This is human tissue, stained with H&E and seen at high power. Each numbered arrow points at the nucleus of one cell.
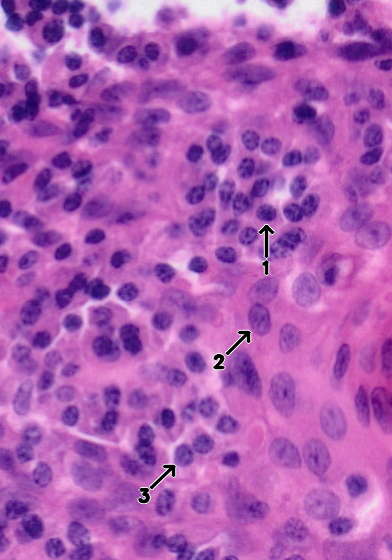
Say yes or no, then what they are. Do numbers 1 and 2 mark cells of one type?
No, cell 1 is a plasma cell and cell 2 is a squamous epithelial cell.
